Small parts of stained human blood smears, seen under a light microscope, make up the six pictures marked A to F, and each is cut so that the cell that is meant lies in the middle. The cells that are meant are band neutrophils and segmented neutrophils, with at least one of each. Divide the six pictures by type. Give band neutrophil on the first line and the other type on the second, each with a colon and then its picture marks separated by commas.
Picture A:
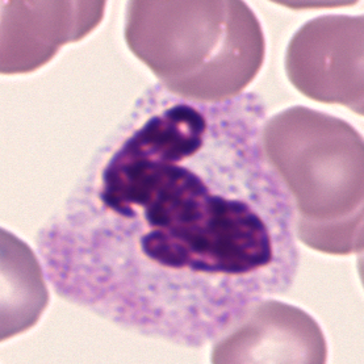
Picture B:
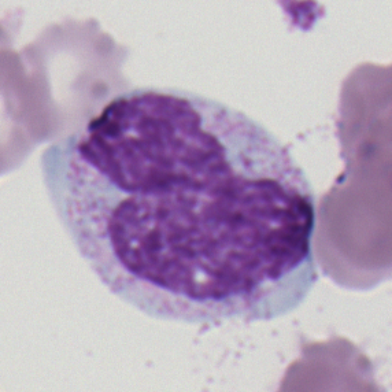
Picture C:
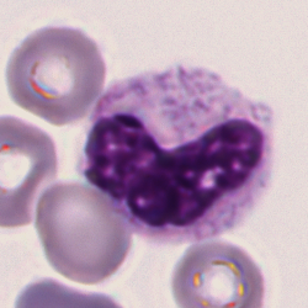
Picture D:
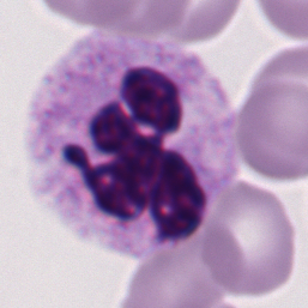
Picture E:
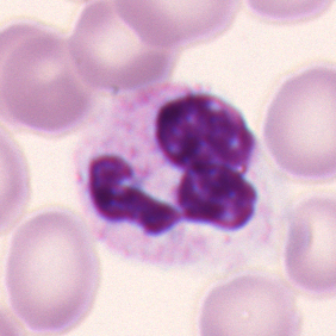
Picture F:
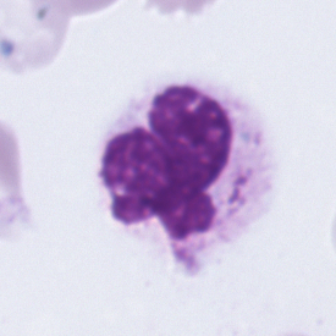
band neutrophil: B, C
segmented neutrophil: A, D, E, F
